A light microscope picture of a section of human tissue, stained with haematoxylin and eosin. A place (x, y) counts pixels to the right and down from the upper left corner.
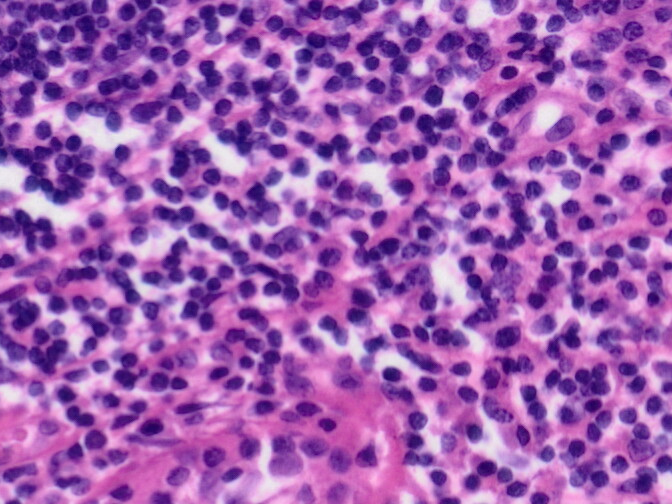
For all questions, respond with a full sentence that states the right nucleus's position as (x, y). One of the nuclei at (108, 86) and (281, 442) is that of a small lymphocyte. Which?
As for which of the two, the nucleus at (108, 86) belongs to a small lymphocyte.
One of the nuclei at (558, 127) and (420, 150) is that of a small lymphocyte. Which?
Of the two, the nucleus at (420, 150) is the one contained in a small lymphocyte.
